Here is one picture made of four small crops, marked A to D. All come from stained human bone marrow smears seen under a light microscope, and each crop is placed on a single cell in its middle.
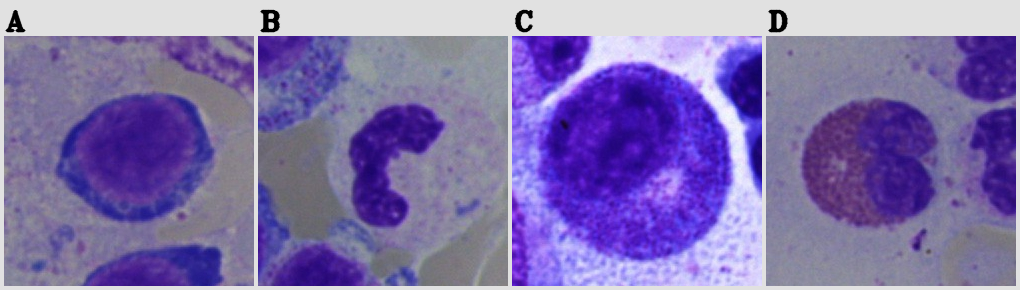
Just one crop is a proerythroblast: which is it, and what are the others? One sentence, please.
There is a proerythroblast in crop A, while crop B is a neutrophil, crop C is a promyelocyte and crop D is an eosinophil.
